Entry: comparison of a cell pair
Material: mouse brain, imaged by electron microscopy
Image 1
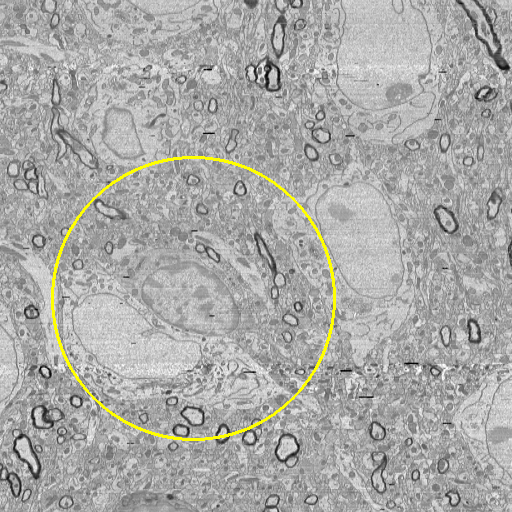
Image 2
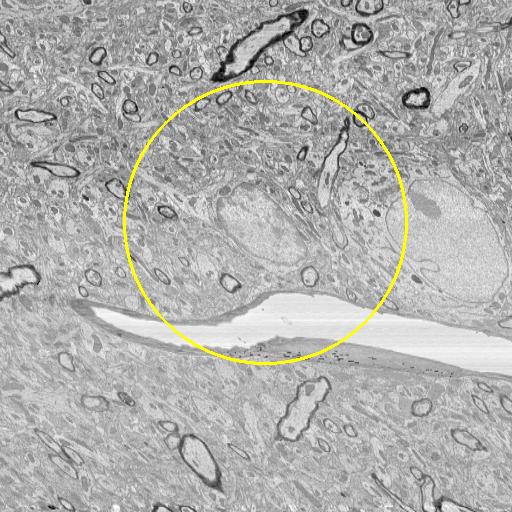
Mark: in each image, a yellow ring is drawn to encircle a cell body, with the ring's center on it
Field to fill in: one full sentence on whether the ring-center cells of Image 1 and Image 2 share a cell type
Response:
Yes, Image 1 and Image 2 each show a ring-center cell of one shared type.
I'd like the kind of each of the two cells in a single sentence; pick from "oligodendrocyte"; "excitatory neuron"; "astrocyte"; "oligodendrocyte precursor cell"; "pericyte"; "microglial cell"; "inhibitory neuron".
The ring centre holds an oligodendrocyte in each of the two pictures.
